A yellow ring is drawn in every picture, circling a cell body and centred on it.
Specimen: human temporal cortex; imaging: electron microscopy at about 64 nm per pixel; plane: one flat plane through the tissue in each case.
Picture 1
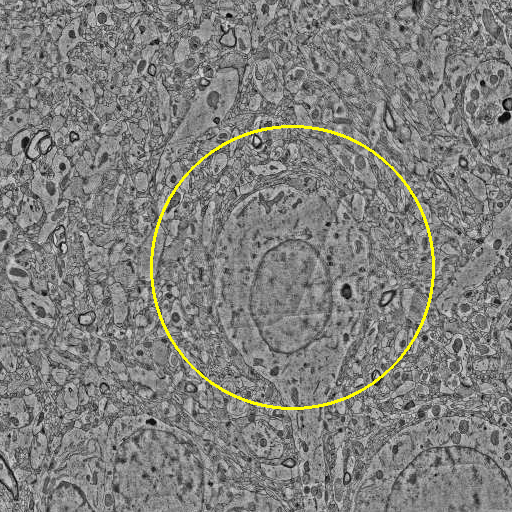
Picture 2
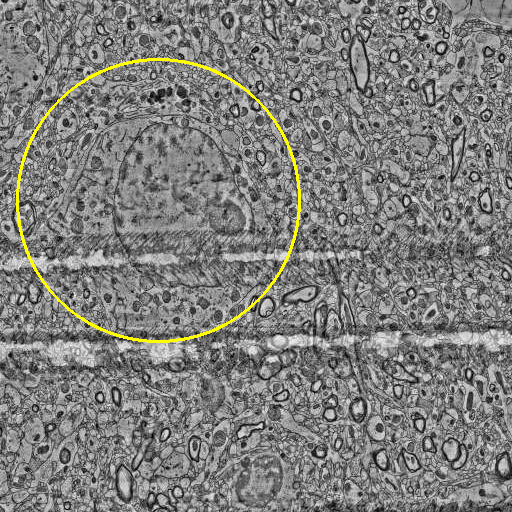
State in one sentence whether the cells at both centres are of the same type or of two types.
The cells at the two ring centres, one per picture, are of the same type.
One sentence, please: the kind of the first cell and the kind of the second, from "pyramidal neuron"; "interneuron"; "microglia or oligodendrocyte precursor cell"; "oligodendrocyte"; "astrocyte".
Each cell at the centre of a ring is a pyramidal neuron.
